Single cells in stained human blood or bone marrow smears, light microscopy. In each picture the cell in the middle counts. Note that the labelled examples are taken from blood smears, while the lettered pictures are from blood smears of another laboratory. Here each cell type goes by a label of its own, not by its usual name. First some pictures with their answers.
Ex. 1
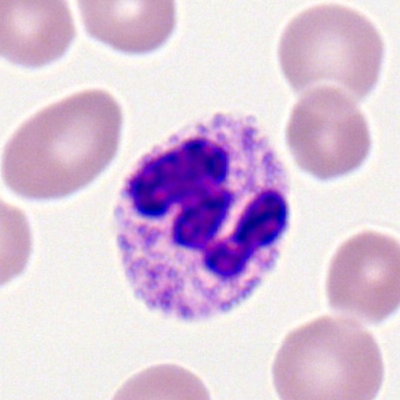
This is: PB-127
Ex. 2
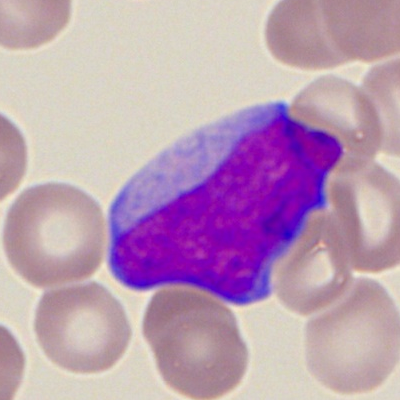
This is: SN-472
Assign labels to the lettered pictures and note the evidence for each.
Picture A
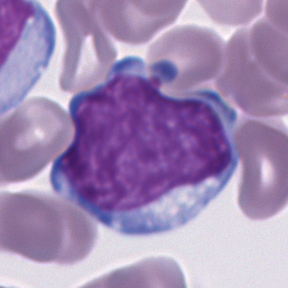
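SN-472. The cytoplasm is blue, deepest in colour along the cell edge.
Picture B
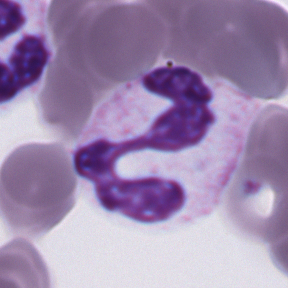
PB-127. The nucleus forms a single band that curves through the cell in an S shape.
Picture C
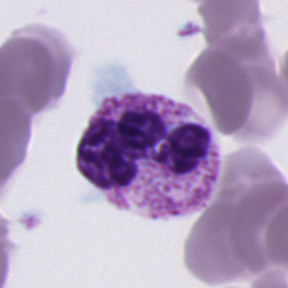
PB-127. The cytoplasm is pale pink rather than blue.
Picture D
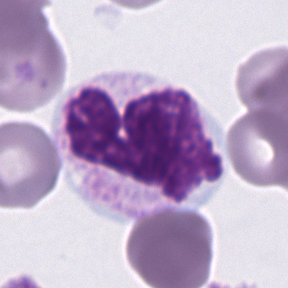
PB-127. A deep notch in the upper edge of the nucleus divides it into two broad lobes.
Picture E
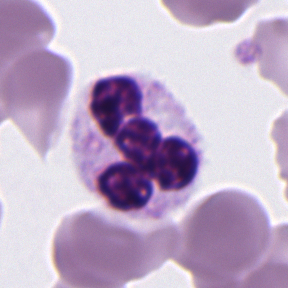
PB-127. The cytoplasm is pale pinkish-lilac rather than blue.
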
